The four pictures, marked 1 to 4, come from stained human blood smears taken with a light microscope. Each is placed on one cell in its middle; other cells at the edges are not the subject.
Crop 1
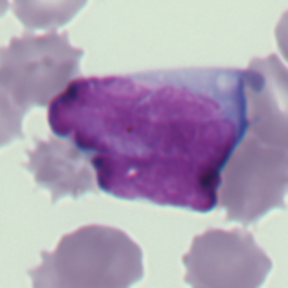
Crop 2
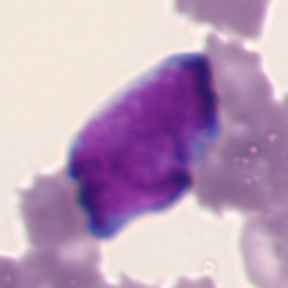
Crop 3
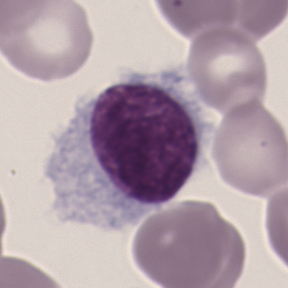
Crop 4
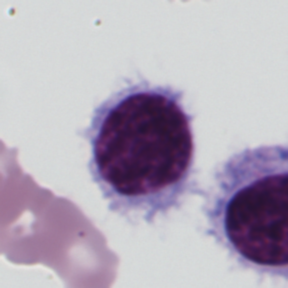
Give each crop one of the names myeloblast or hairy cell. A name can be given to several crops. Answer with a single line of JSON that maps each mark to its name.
{"1": "myeloblast", "2": "myeloblast", "3": "hairy cell", "4": "hairy cell"}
